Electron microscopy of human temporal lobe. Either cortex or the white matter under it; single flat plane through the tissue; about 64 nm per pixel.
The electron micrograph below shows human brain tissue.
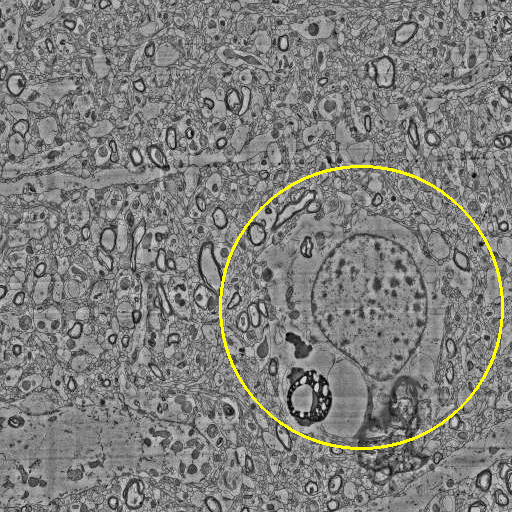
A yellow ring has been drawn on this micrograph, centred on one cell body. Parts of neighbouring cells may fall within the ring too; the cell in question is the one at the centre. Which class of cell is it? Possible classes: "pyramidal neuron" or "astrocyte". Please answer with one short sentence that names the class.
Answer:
In the centre of the ring sits an astrocyte.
